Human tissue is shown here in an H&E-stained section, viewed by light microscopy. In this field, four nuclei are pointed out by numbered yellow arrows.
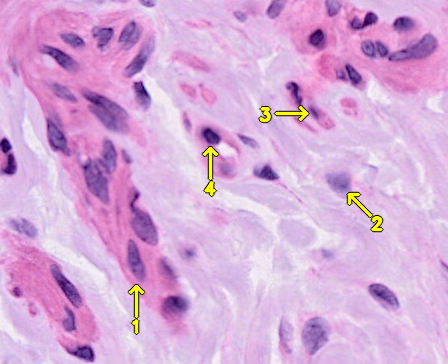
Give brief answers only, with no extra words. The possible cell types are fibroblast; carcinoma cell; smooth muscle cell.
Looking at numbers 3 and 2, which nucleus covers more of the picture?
2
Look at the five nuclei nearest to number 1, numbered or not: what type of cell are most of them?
smooth muscle cell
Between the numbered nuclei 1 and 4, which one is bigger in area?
1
